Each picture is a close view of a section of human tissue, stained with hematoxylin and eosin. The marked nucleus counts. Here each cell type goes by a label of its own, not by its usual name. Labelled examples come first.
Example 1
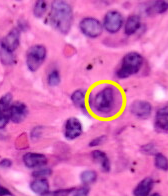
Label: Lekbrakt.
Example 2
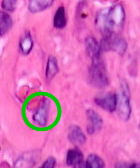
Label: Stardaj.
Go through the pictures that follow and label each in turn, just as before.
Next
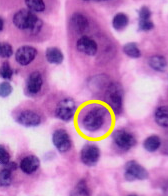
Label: Lekbrakt.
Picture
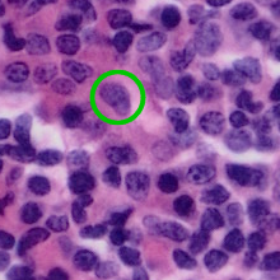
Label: Stardaj.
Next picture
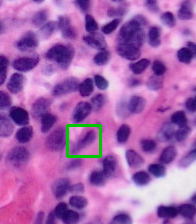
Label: Stardaj.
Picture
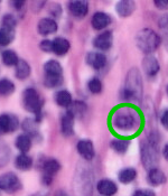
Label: Stardaj.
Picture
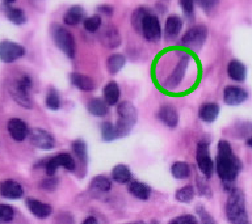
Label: Stardaj.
